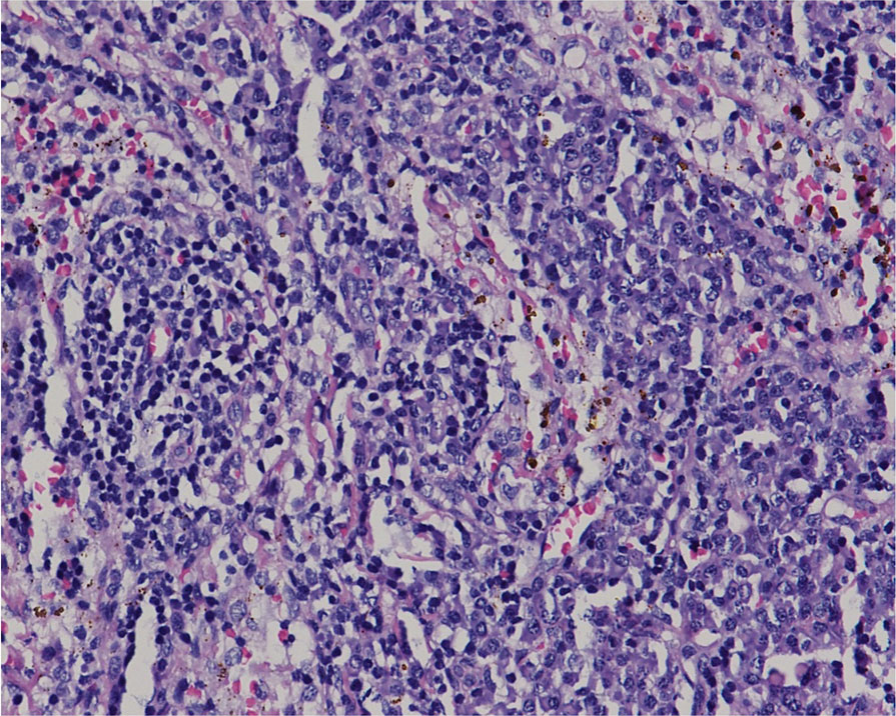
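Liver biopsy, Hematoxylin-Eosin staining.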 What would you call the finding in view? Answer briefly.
Lymphocyte infiltration.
